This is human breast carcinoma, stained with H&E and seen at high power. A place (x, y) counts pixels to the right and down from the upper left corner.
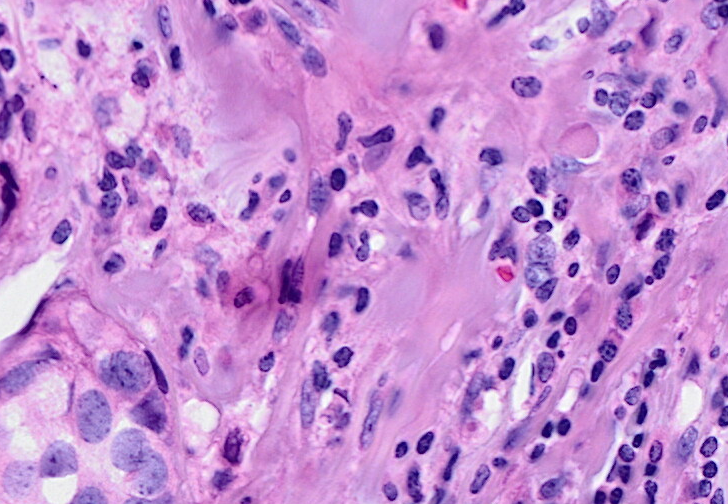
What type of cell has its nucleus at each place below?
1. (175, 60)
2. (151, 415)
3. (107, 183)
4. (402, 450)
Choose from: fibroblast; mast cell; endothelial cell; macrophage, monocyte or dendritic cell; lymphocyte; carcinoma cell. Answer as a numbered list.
1. lymphocyte
2. carcinoma cell
3. lymphocyte
4. lymphocyte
